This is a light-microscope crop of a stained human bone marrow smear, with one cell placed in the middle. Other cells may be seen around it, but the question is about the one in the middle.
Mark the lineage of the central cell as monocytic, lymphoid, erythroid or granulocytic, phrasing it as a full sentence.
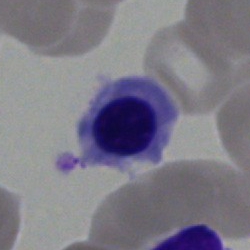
As for the middle cell, it is a member of the erythroid lineage.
